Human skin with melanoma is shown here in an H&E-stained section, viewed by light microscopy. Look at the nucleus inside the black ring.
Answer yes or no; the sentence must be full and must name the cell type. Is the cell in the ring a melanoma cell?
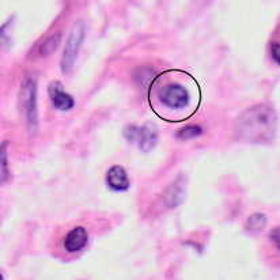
No, on this one the cell in the ring is a lymphocyte, not a melanoma cell.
